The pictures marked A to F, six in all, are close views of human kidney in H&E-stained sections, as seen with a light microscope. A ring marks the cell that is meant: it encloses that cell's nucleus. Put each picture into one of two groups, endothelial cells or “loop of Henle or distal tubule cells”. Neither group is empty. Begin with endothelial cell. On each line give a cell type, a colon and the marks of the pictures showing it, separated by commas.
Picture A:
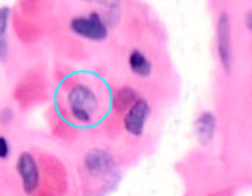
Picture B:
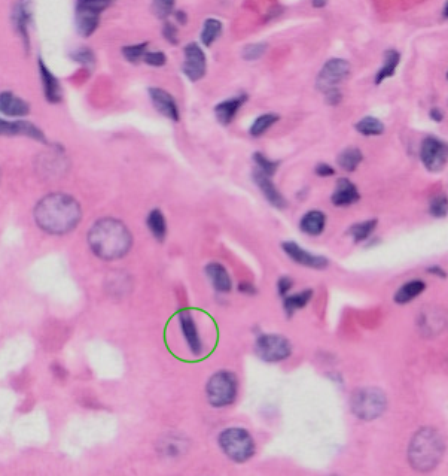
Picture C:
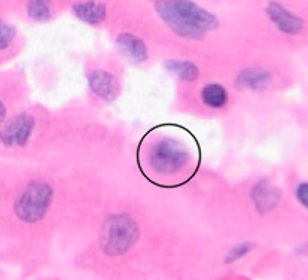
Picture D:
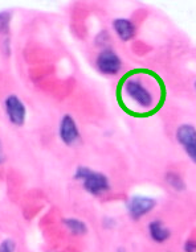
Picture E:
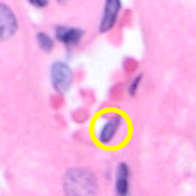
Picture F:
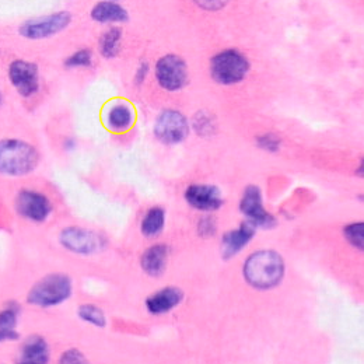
endothelial cell: A, B, D, E
loop of Henle or distal tubule cell: C, F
